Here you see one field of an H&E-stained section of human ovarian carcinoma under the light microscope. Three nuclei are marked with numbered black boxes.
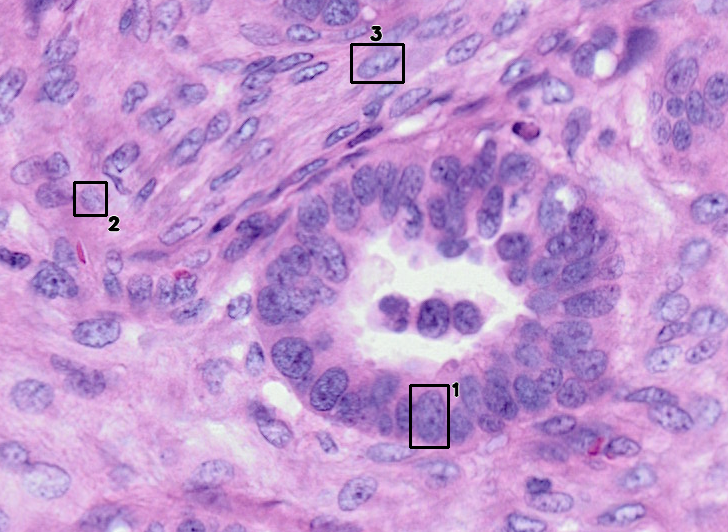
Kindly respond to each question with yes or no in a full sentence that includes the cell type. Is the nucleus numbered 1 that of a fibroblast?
No, cell 1 isn't a fibroblast; it's a carcinoma cell.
